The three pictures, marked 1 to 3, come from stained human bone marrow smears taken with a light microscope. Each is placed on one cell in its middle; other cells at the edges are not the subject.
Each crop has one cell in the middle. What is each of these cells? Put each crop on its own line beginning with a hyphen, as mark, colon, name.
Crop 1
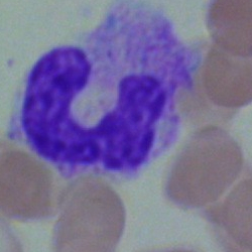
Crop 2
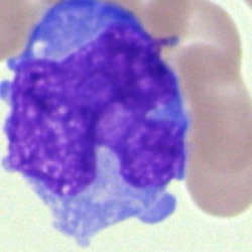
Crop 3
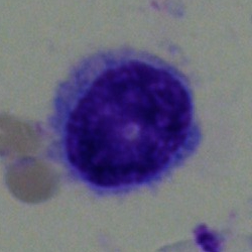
- 1: band neutrophil
- 2: monocyte
- 3: hairy cell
